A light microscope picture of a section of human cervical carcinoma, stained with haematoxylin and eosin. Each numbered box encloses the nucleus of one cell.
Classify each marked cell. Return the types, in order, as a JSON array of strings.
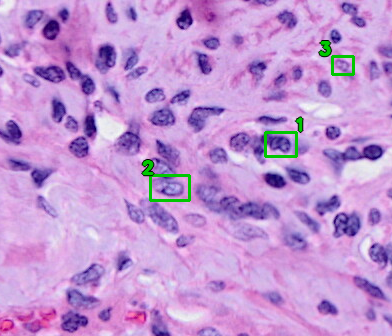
["lymphocyte", "endothelial cell", "smooth muscle cell"]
